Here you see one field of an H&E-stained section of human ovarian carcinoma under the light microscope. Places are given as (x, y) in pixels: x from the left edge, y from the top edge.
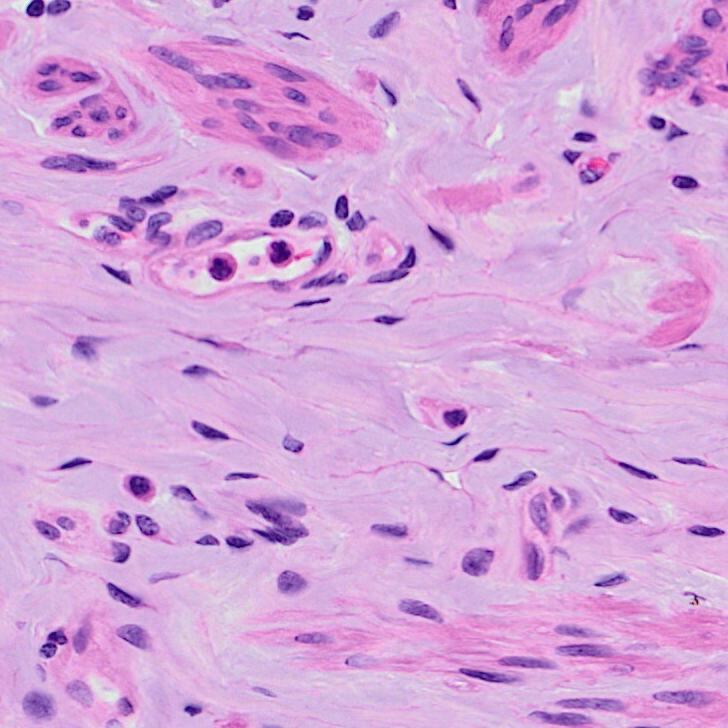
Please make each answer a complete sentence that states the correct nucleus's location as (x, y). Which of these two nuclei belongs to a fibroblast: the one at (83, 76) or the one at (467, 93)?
The nucleus at (467, 93) is part of a fibroblast, while the other is not.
